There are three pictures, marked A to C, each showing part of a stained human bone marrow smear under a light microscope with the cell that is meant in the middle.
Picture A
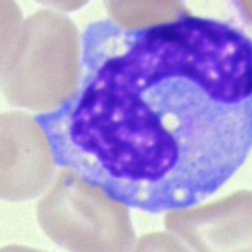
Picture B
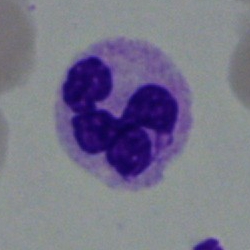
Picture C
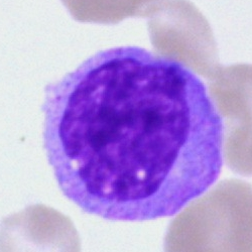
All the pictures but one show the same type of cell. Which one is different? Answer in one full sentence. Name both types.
Unlike the rest, which show monocytes, picture B shows a segmented neutrophil.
